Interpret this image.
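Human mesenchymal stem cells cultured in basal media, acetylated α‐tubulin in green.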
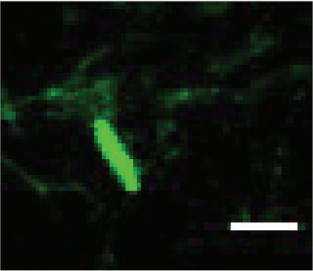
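A short, bright green rod sits slightly off centre, tilted obliquely, standing out sharply against the dark background. Faint, thread-like green filaments branch through the surrounding field, much dimmer than the rod. The rod is straight, of even width and unbranched.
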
